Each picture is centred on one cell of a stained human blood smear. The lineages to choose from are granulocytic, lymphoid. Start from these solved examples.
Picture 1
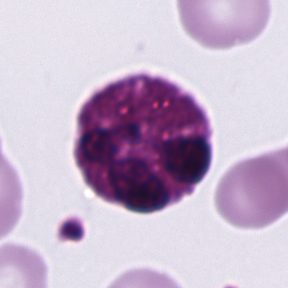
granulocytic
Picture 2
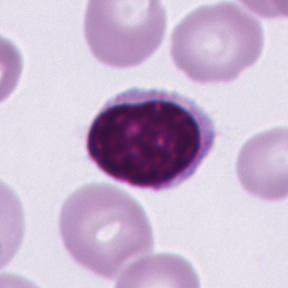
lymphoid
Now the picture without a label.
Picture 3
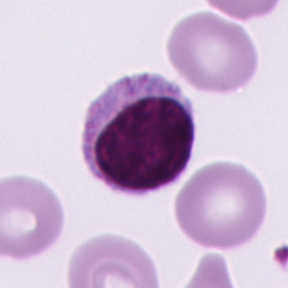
lymphoid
